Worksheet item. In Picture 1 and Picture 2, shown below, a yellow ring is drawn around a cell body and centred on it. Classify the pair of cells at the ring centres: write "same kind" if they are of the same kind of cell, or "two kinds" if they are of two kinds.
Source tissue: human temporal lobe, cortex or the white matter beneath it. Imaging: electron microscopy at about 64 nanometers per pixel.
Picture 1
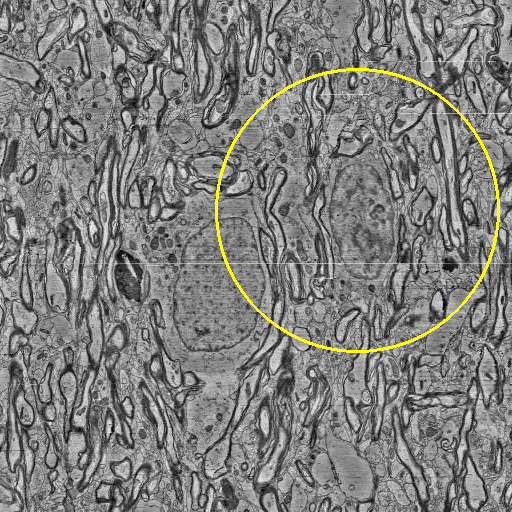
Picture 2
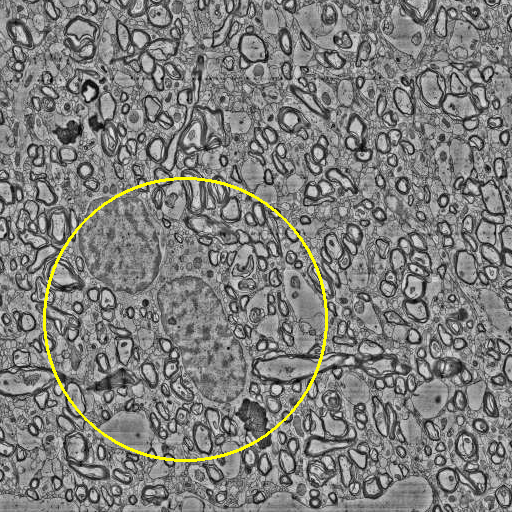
same kind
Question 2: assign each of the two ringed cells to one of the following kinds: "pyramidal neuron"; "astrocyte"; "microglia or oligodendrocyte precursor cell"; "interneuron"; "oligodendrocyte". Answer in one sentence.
The first and the second cell are each an oligodendrocyte.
